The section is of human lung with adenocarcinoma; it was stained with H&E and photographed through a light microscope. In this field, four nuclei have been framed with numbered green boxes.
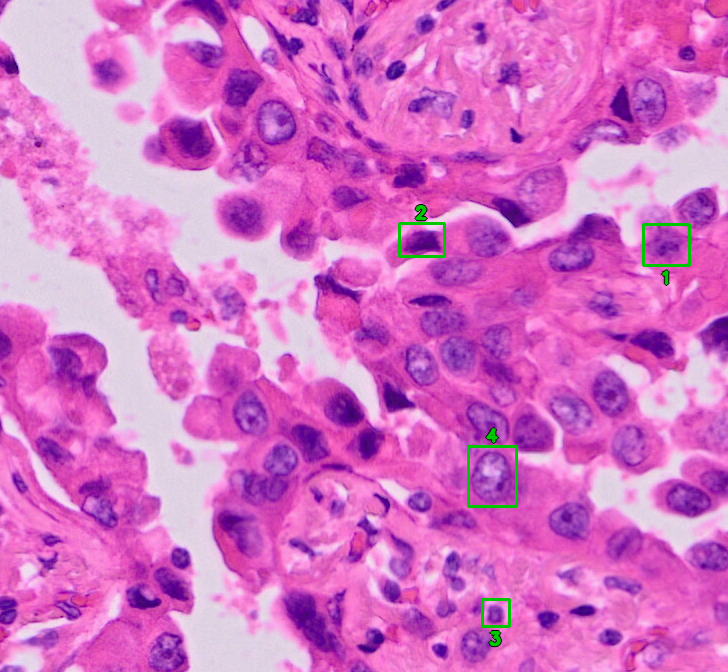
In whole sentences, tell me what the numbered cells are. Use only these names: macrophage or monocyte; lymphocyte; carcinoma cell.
Cell 1 is a carcinoma cell, cell 2 is a carcinoma cell, cell 3 is a lymphocyte and cell 4 is a carcinoma cell.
